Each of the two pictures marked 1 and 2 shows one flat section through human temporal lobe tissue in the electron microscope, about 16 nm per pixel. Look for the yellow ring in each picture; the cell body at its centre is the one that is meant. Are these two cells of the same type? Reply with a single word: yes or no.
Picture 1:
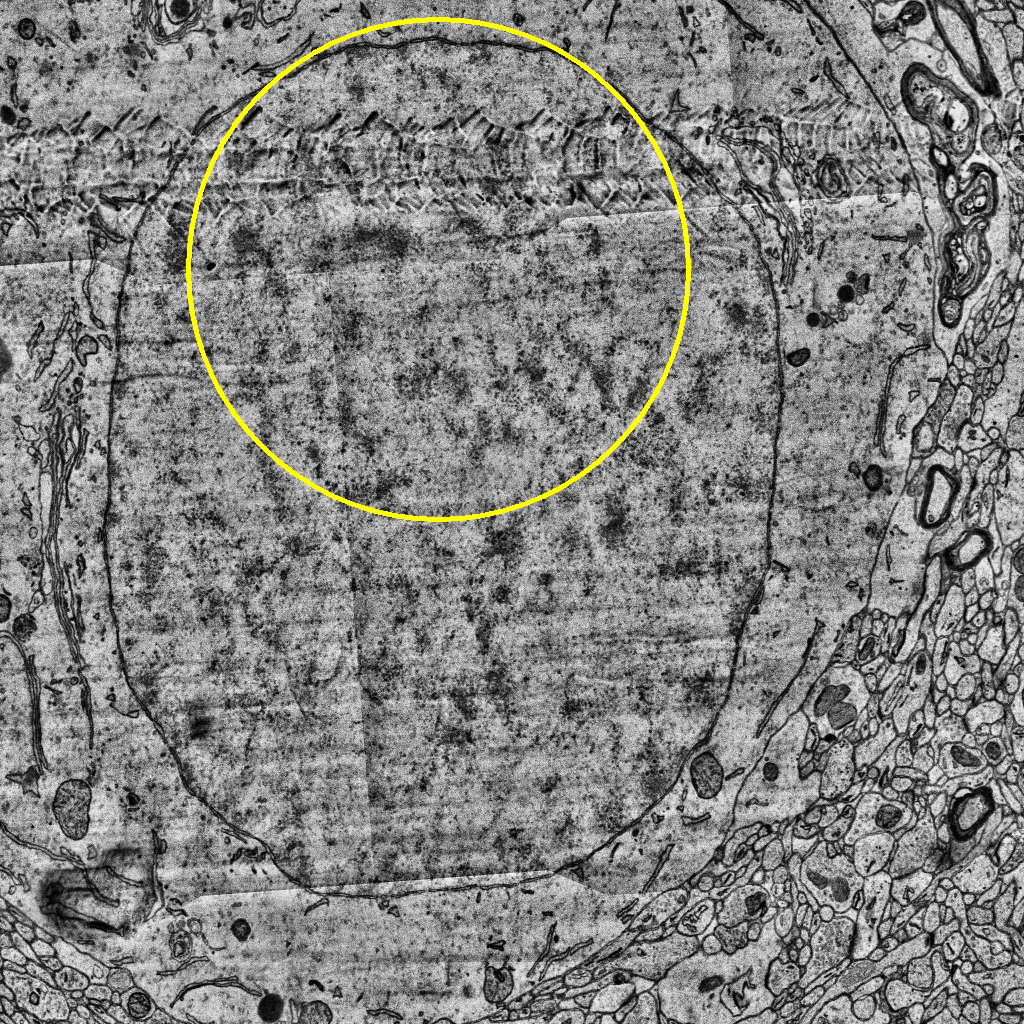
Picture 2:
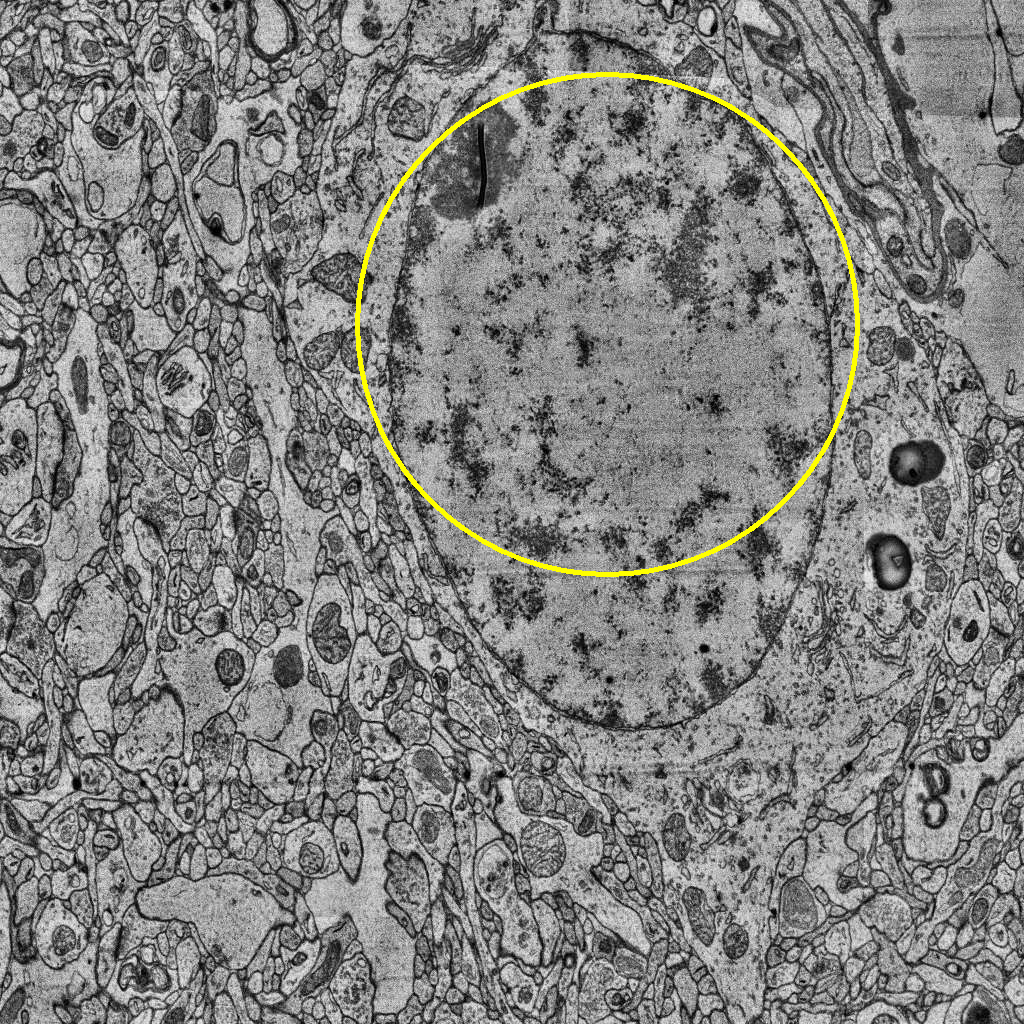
yes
